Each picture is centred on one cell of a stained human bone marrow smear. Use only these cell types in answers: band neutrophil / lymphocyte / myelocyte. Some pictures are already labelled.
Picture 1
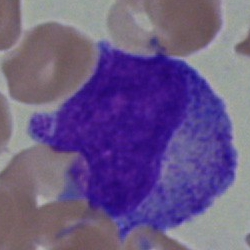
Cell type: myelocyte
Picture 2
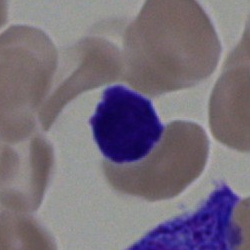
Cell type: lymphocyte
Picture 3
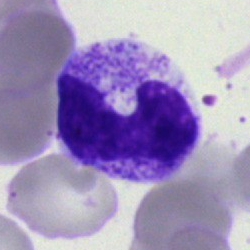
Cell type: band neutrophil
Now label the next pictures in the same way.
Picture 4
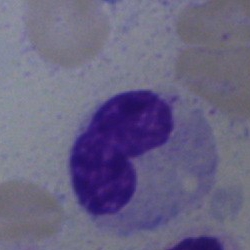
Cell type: band neutrophil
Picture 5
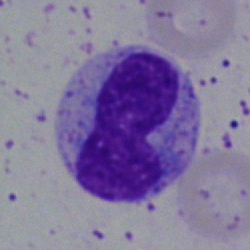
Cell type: band neutrophil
